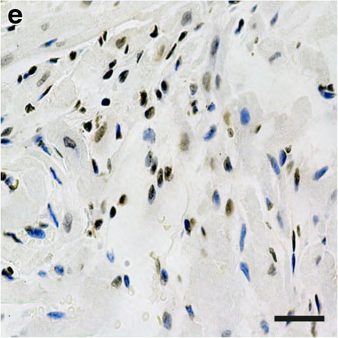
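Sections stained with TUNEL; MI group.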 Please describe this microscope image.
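This is heart muscle at high magnification, with pale, faintly stained muscle fibres and many elongated or oval nuclei lying between and within them. The labelled and unlabelled nuclei are intermingled across the whole field.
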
